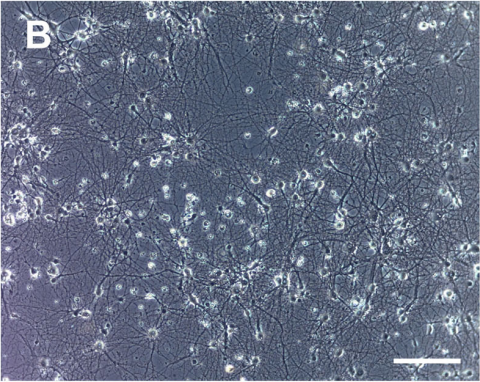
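Small, round, phase-bright cell bodies are scattered across the dish, some lying singly and some in small loose clusters. From the cell bodies arise thin, long processes that branch and cross one another to form a dense network over the background. The background between the cells is dark and largely free of flat underlying cells.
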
